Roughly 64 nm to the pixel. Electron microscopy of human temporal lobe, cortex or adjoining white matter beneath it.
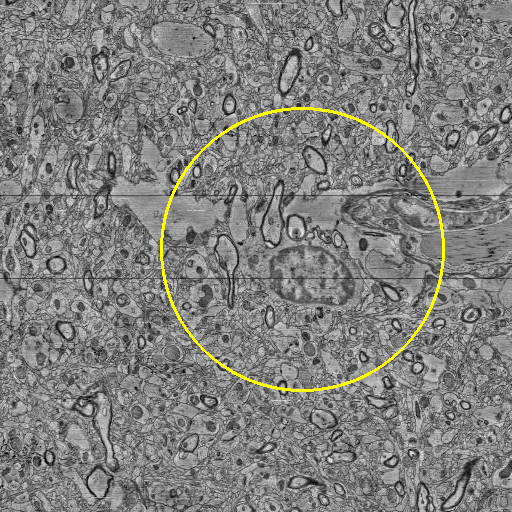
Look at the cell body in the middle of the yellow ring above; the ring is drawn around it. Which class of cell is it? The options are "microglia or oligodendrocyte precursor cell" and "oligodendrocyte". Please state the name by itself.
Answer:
oligodendrocyte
